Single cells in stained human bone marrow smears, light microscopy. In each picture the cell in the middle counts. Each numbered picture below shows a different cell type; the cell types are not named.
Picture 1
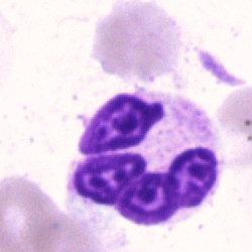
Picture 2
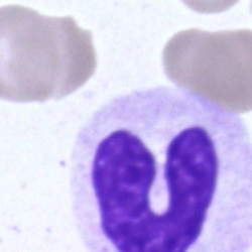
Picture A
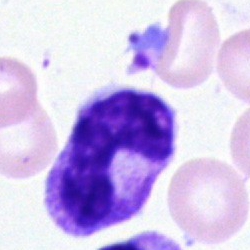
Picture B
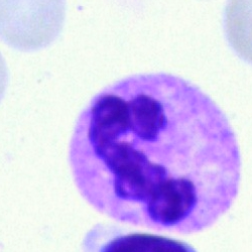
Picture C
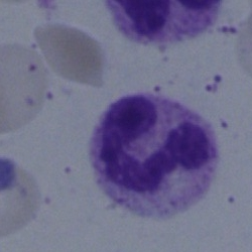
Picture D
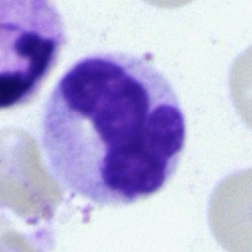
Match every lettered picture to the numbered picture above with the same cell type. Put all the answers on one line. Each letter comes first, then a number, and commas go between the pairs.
A 2, B 1, C 2, D 2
